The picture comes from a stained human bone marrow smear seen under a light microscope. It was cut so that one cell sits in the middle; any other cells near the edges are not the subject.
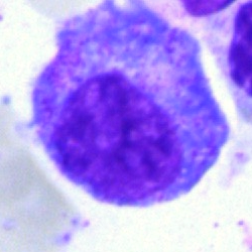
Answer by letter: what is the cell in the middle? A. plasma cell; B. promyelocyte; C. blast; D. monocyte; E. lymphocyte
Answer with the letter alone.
B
